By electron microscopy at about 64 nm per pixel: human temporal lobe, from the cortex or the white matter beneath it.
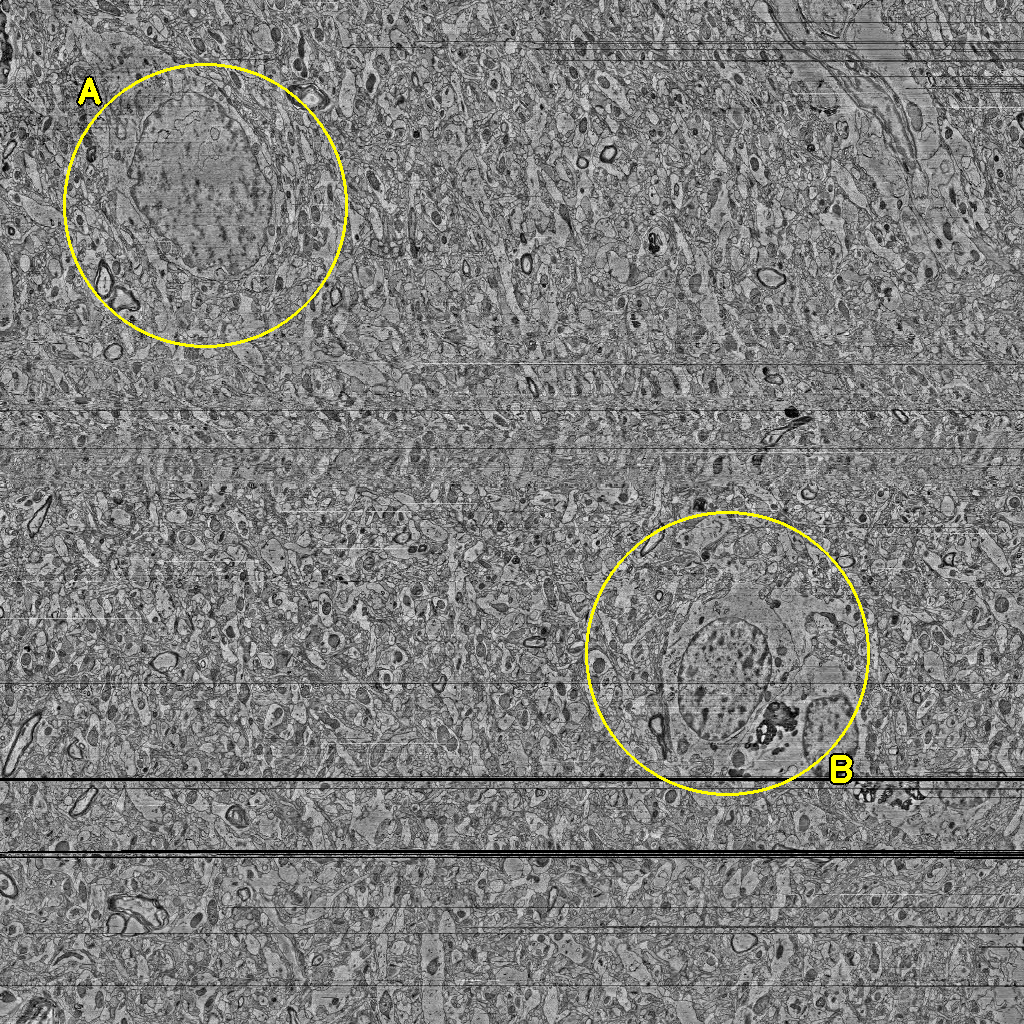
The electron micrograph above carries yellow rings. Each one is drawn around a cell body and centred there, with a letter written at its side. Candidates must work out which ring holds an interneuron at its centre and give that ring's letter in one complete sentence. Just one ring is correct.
Letter A marks the ring whose centre holds that kind of cell.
